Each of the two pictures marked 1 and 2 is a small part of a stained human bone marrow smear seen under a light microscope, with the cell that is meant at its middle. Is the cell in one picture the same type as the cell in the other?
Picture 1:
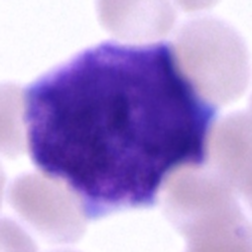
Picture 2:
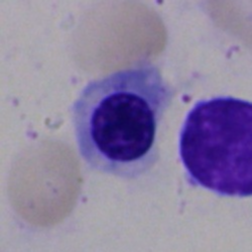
no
